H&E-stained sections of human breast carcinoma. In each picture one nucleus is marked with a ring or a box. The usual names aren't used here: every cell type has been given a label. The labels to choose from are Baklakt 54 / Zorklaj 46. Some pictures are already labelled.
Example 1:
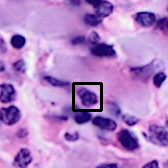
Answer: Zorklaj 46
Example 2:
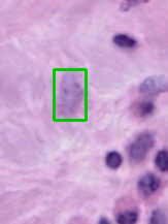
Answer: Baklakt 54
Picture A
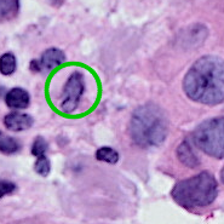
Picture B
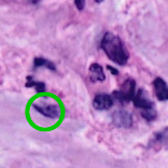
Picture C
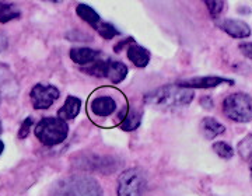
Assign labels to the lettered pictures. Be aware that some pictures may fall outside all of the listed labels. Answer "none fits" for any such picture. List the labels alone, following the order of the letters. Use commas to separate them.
none fits, Baklakt 54, Zorklaj 46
